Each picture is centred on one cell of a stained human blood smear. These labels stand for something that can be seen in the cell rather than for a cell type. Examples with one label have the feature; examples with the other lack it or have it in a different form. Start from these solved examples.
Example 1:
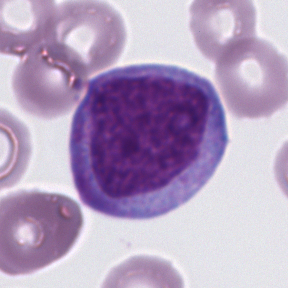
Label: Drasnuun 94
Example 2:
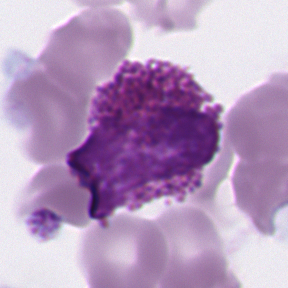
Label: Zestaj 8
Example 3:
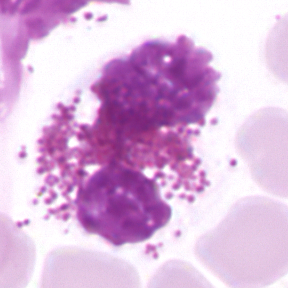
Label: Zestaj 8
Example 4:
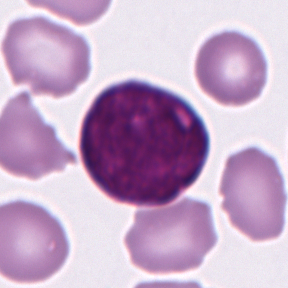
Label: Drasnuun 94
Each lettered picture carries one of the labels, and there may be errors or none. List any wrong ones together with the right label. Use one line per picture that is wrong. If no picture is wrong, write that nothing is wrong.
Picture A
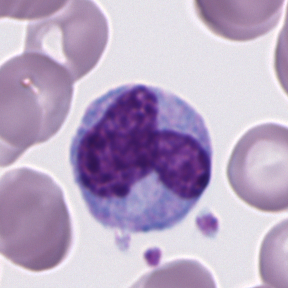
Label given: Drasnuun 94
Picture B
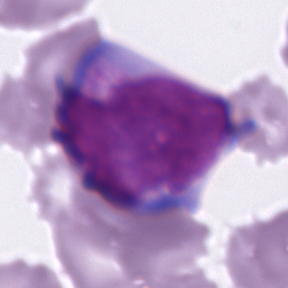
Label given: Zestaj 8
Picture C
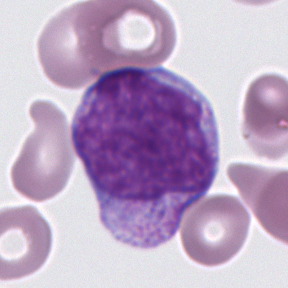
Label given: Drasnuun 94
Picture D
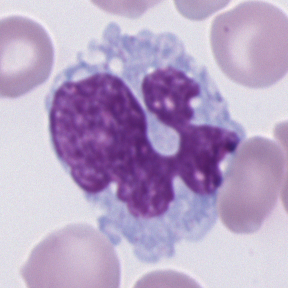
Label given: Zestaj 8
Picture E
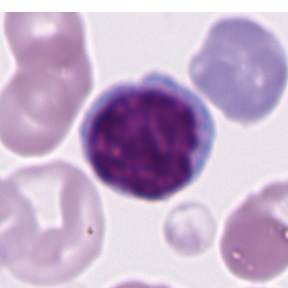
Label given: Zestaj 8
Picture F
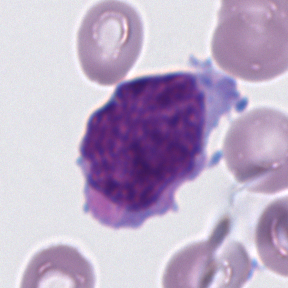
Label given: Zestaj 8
Every label is right.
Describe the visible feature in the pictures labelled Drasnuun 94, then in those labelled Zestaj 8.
In Drasnuun 94: smooth outline. In Zestaj 8: ragged outline or projections.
